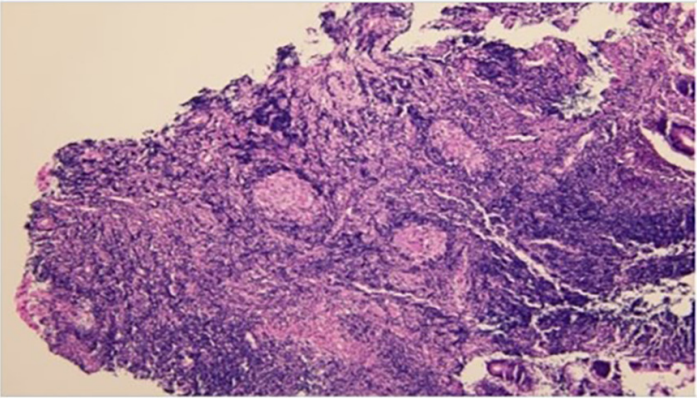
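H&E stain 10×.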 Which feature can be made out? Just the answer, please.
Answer: Non-caseating granuloma.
